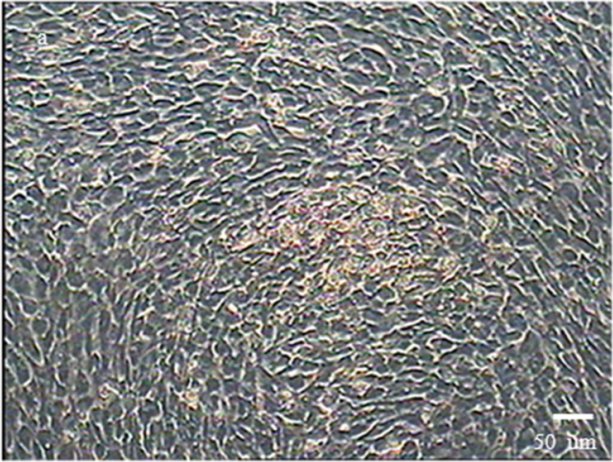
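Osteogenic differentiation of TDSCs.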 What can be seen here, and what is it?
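Many cells are short and angular, roughly triangular or polygonal rather than spindle-like, with bright phase-contrast borders outlining each cell. In places the cells swirl around a central area where the layer becomes crowded and granular, with small bright, refractile, yellowish patches scattered among the cells, the beginnings of mineralising nodules. Towards the edges of the field the cells are somewhat more elongated and lie in parallel streams. No gaps of empty dish are visible between the cells.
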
